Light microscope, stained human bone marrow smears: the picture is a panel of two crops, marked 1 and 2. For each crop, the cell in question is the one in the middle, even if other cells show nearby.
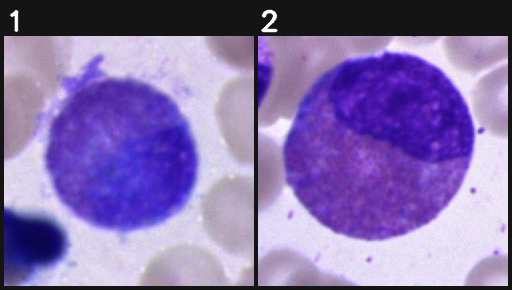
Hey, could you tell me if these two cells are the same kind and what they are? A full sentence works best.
Yes, eosinophils are the central cells in the two crops.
